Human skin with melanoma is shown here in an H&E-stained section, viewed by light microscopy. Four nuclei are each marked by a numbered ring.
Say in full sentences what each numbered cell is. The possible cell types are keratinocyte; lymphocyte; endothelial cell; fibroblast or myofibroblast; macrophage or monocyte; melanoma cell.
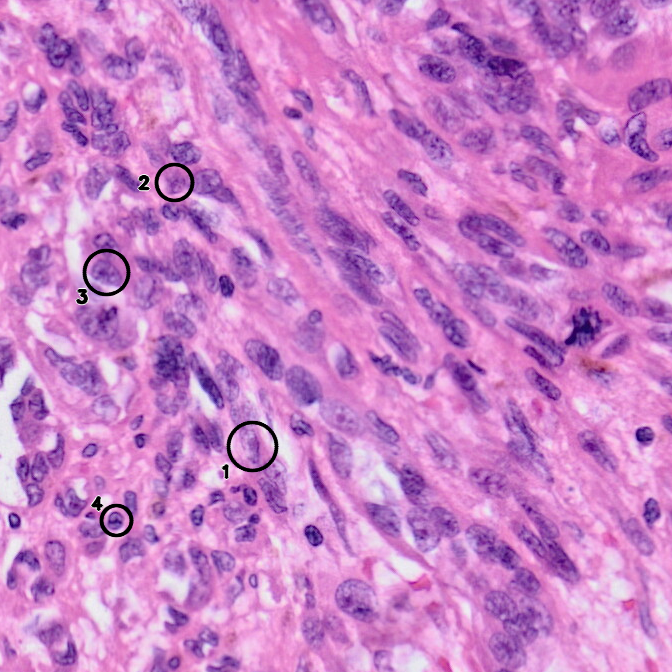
Cells 1, 2 and 3 are melanoma cells. Cell 4 is a lymphocyte.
